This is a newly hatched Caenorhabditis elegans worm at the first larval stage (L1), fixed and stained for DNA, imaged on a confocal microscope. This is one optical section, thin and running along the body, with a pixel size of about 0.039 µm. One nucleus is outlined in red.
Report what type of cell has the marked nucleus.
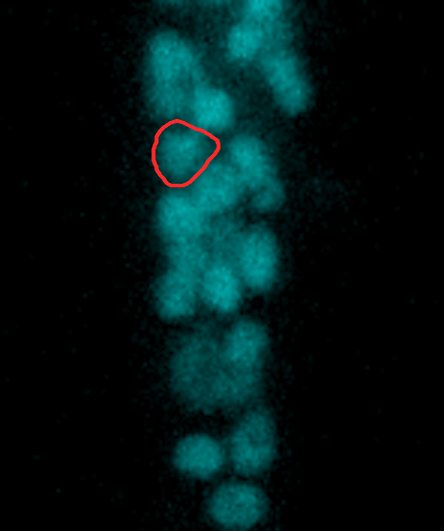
neuron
